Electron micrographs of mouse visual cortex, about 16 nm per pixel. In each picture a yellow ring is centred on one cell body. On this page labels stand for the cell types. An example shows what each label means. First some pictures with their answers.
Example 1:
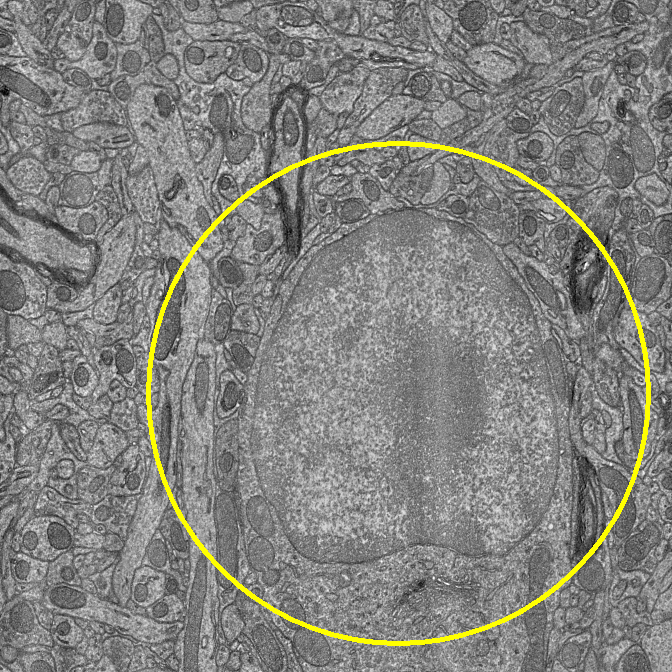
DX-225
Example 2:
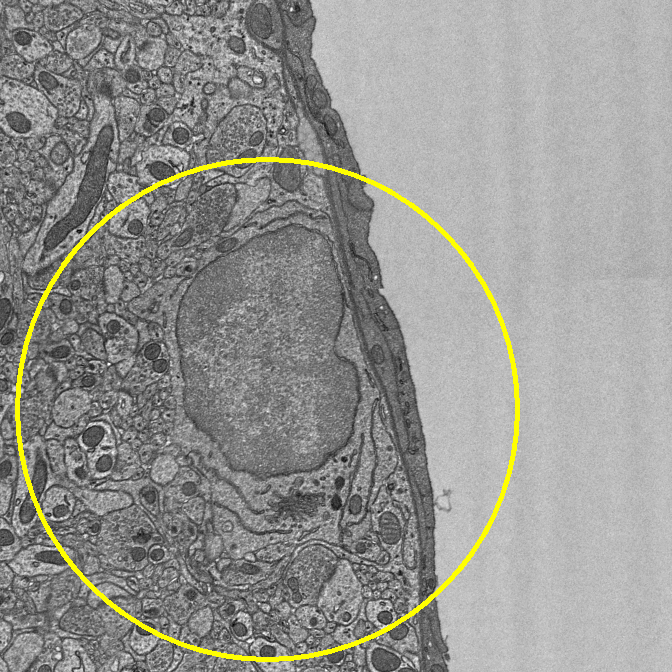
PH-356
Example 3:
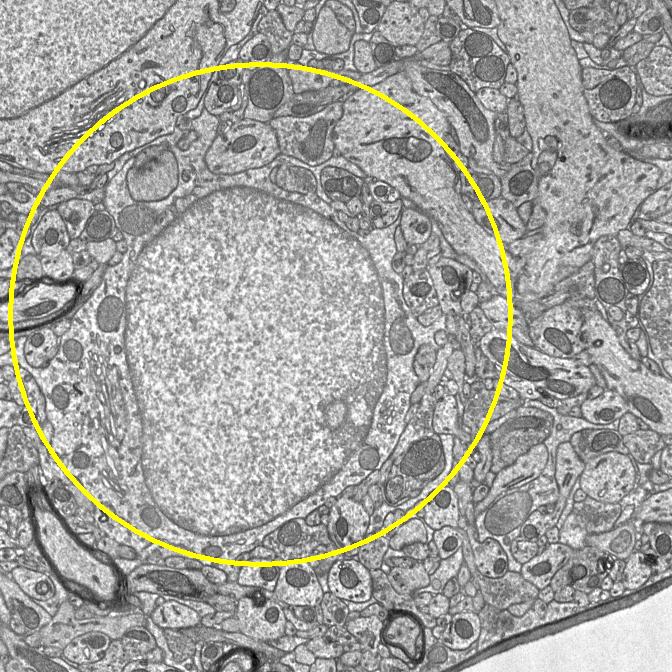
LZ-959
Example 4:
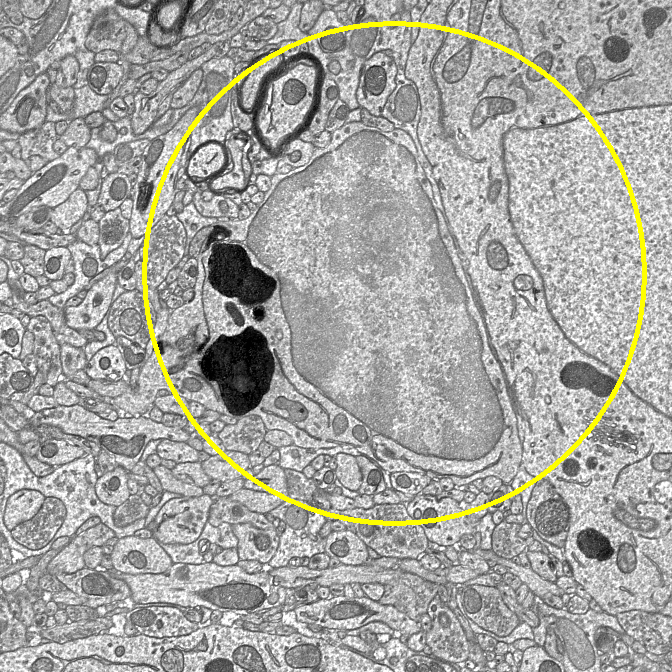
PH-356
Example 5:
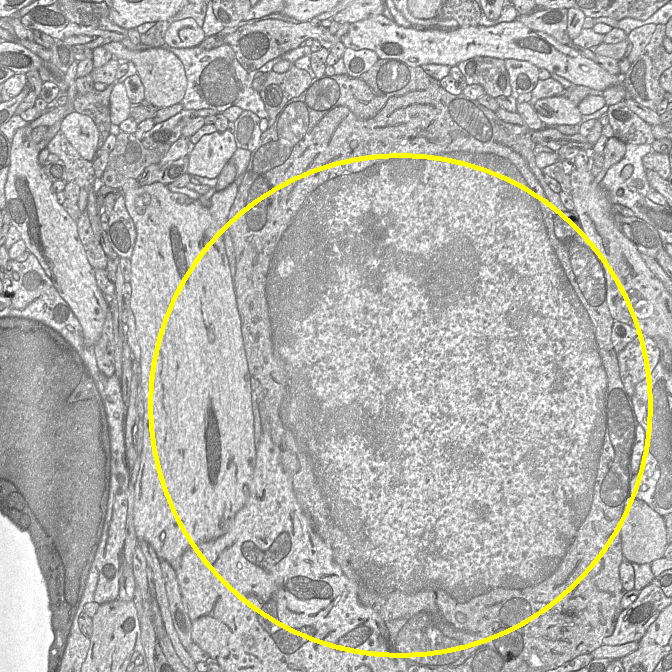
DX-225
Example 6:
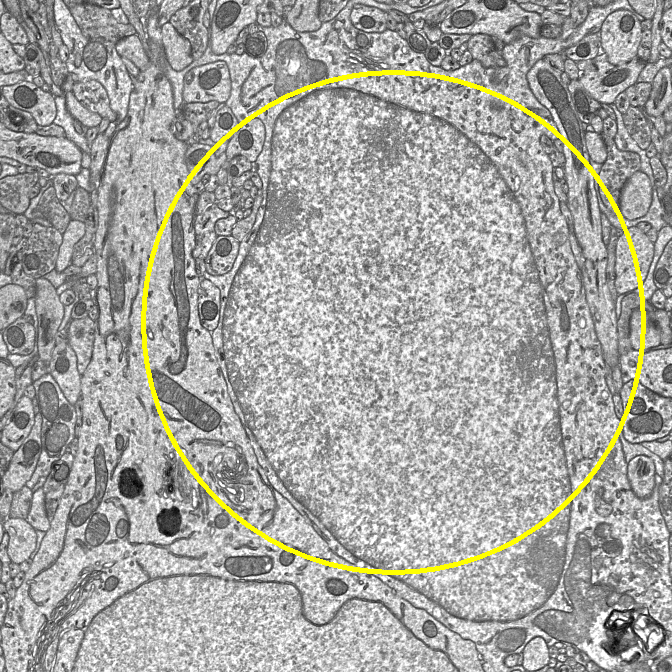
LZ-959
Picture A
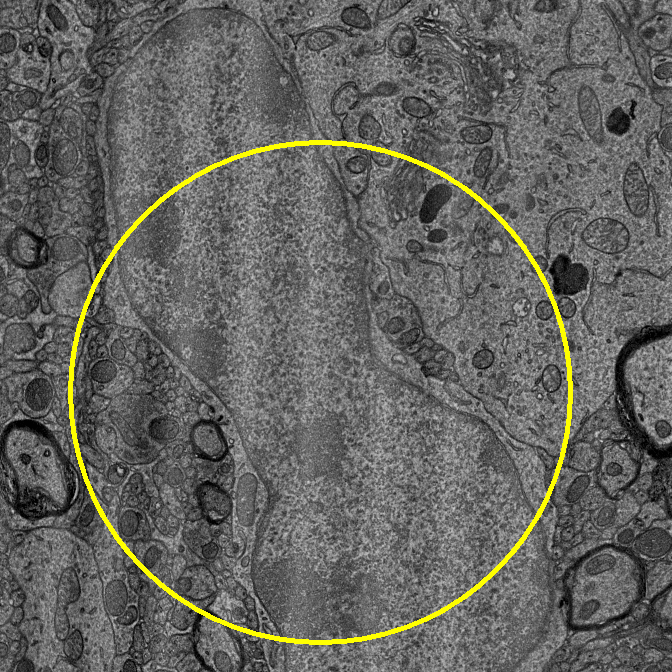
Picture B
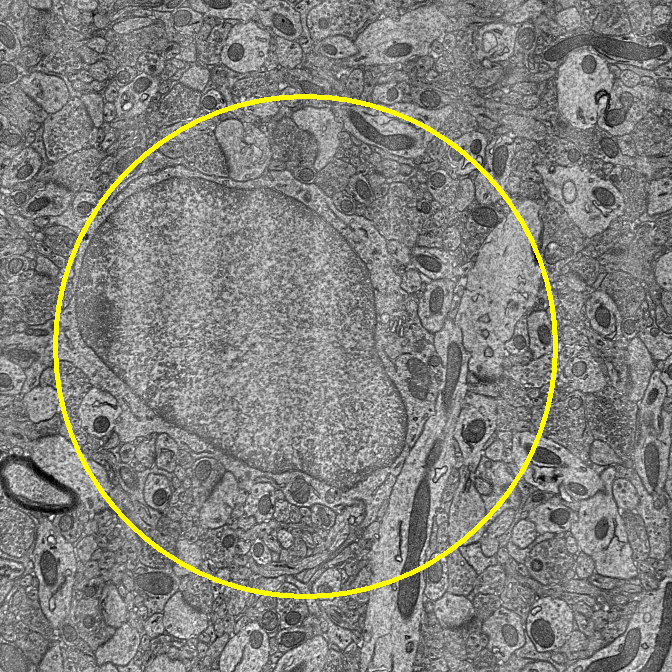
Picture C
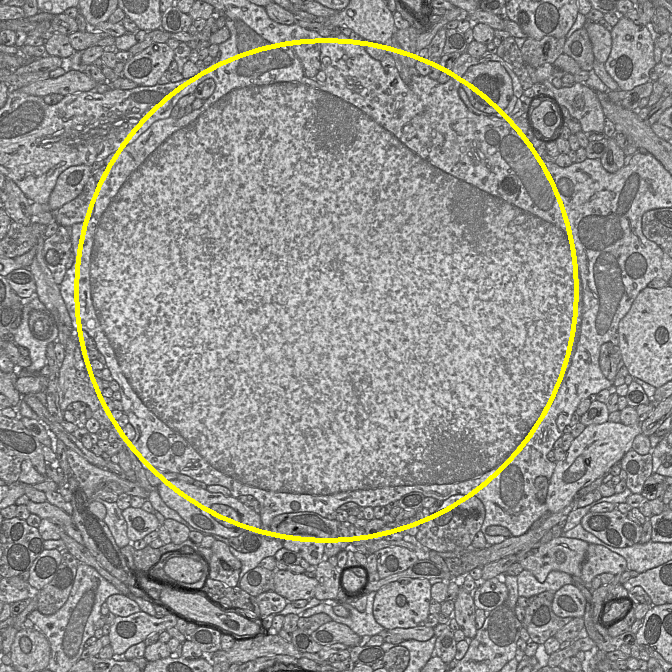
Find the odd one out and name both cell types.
A: DX-225; all the others: LZ-959.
